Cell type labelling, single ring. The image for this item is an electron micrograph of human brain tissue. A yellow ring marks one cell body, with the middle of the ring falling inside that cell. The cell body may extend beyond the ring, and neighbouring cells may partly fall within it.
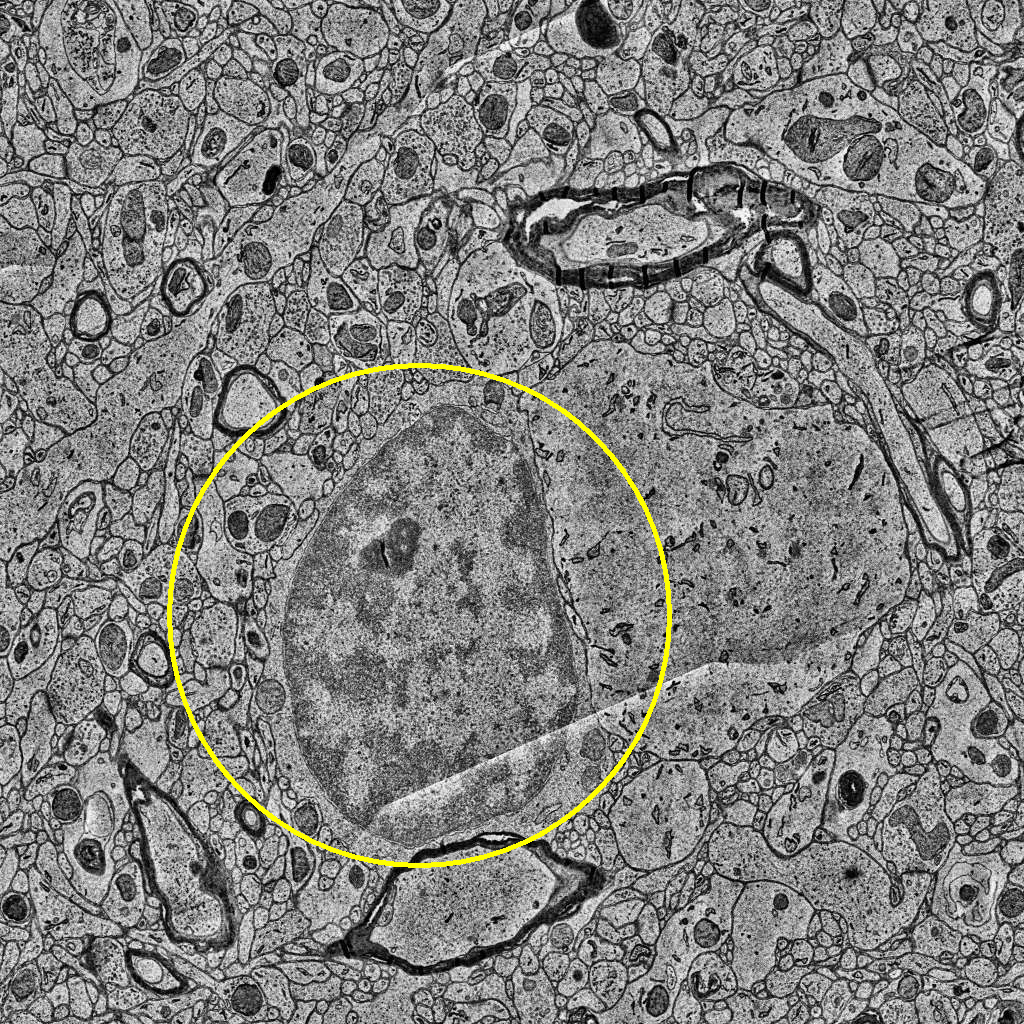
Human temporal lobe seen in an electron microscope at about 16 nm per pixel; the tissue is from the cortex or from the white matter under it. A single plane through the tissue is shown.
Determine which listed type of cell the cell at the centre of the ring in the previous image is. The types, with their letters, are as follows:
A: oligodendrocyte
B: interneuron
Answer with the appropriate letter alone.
A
